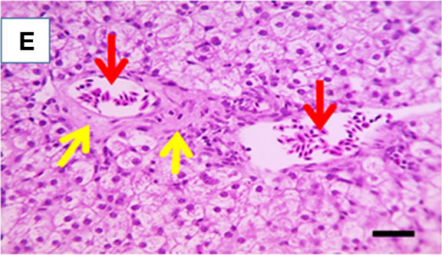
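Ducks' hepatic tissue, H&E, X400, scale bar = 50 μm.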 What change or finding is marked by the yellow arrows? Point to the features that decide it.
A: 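Pink fibrous tissue with spindle-shaped nuclei surrounds the vessels at the arrows. The answer: perivascular fibrosis.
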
